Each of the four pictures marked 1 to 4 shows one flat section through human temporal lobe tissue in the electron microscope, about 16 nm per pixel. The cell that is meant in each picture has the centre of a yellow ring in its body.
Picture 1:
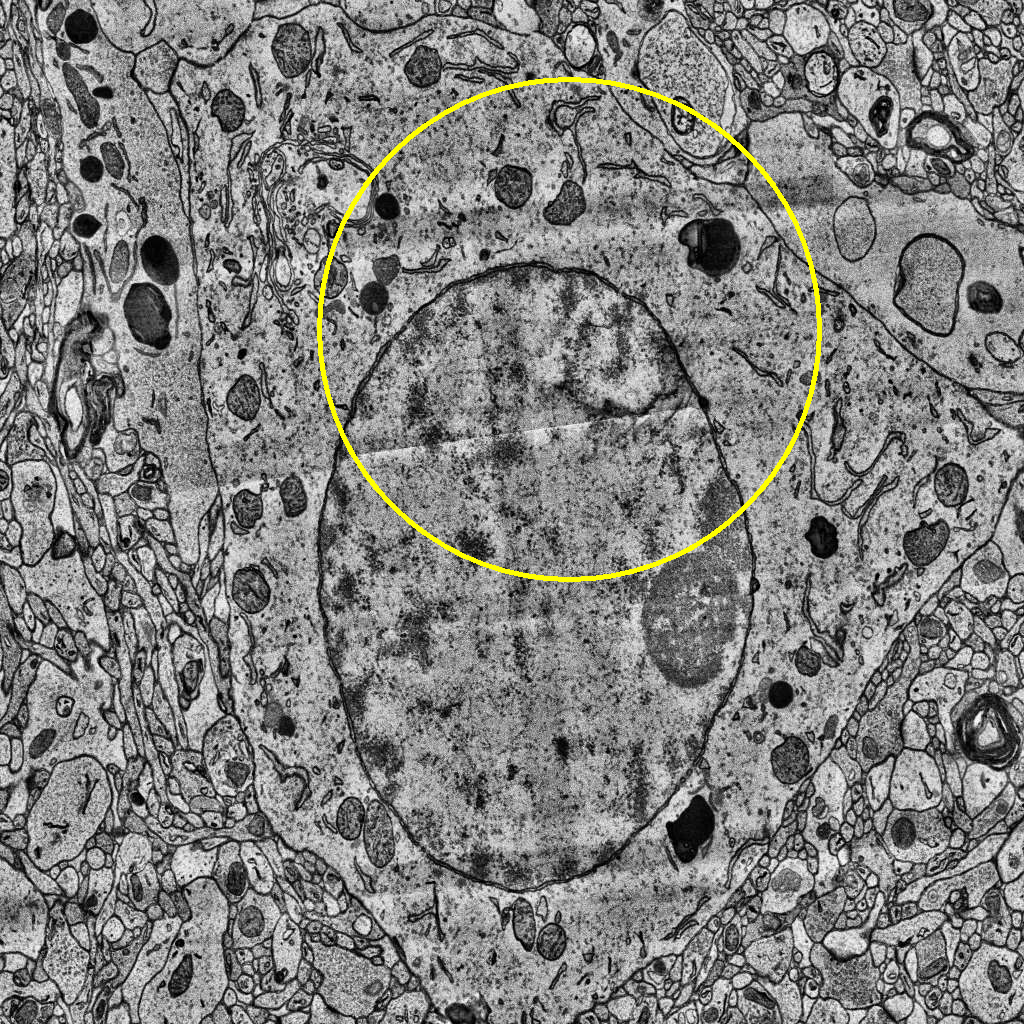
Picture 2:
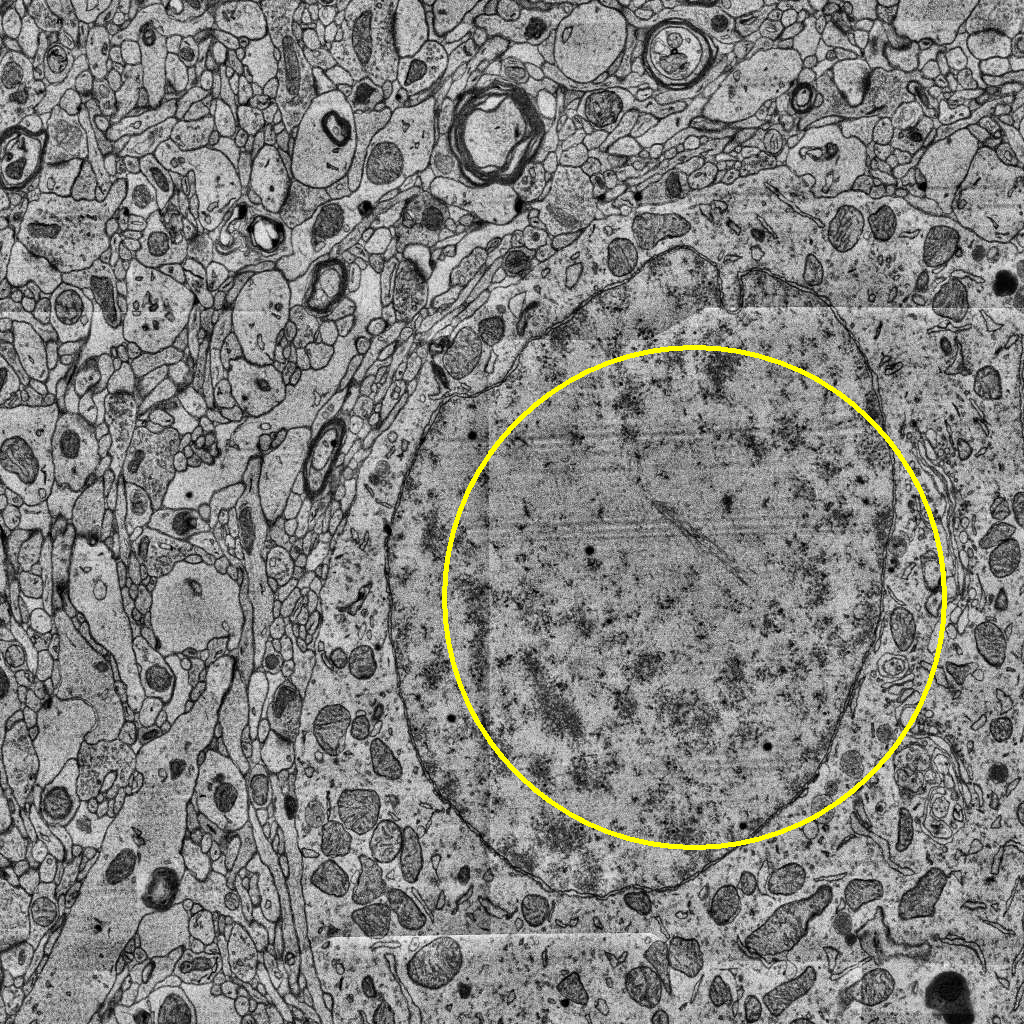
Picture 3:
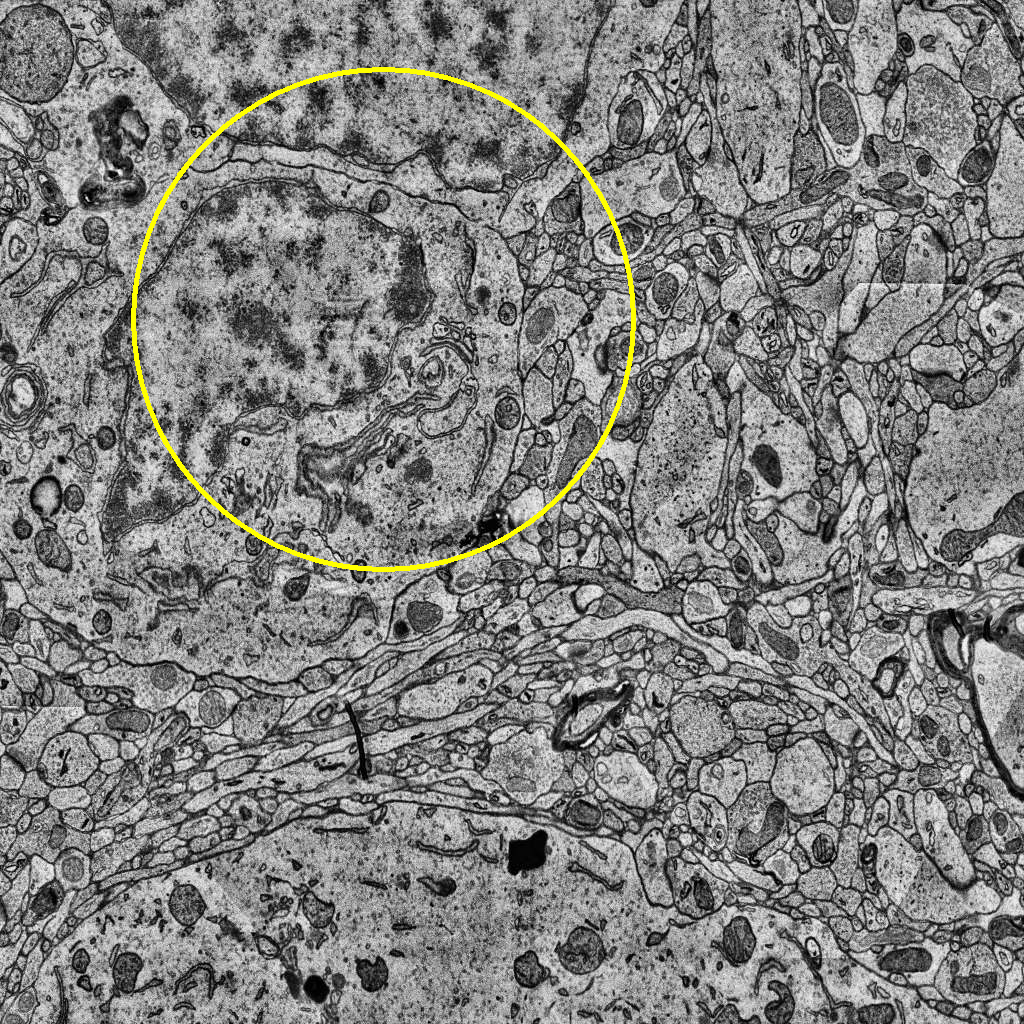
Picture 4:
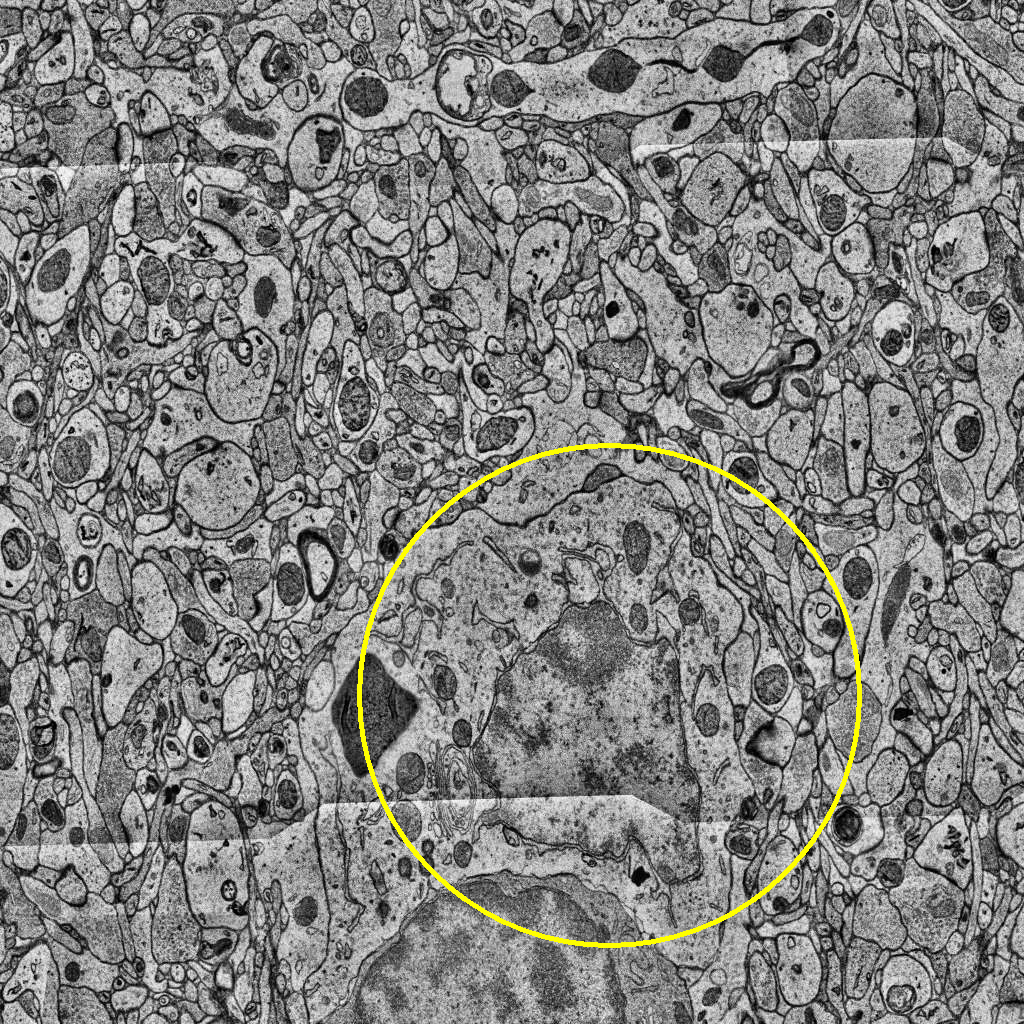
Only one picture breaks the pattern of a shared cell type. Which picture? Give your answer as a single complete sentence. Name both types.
Picture 1 is the odd one out: it shows a pyramidal neuron, while the others show interneurons.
